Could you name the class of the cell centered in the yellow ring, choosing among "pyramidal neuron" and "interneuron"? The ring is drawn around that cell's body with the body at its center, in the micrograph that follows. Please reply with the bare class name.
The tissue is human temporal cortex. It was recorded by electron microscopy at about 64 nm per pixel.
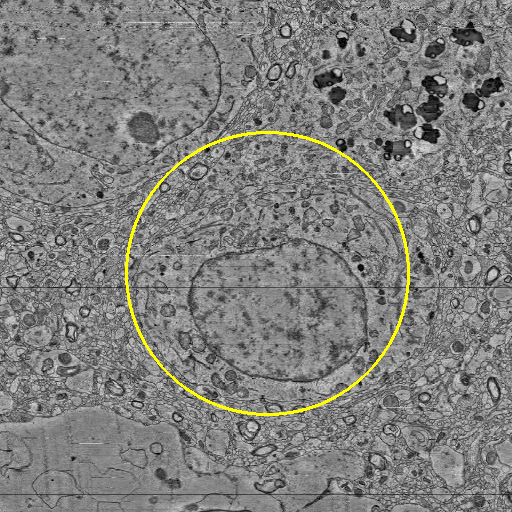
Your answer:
interneuron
